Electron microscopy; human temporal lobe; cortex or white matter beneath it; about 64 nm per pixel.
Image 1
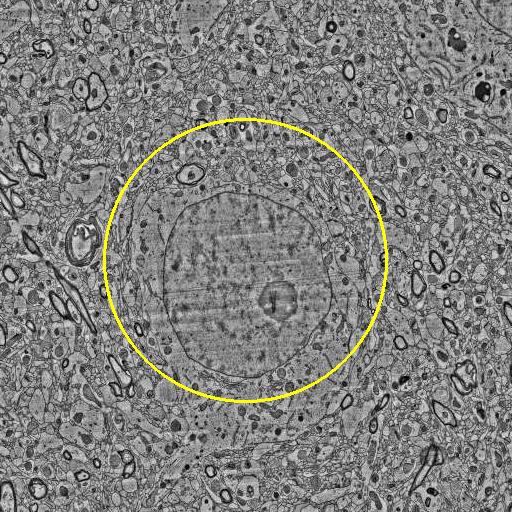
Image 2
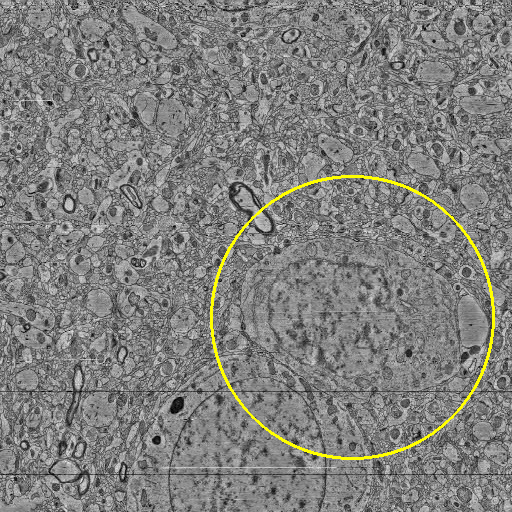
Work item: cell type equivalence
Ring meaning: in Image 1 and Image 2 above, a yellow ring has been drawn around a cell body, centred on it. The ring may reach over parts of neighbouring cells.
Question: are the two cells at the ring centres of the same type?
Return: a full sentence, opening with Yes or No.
No, the two centred cells are of two types.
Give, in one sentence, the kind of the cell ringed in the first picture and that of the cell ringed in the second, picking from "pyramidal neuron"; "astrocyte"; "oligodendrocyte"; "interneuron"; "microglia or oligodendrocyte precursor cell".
For the first picture it is a pyramidal neuron; for the second, an interneuron.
